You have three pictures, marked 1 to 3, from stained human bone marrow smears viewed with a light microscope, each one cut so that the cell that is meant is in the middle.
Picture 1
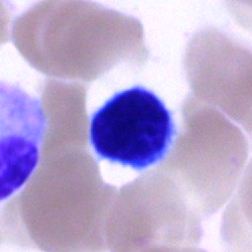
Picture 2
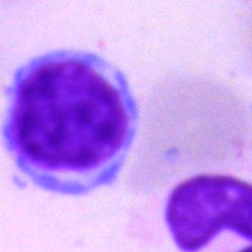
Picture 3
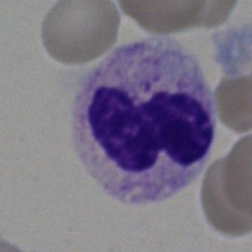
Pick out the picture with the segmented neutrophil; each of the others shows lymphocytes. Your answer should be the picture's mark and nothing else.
3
